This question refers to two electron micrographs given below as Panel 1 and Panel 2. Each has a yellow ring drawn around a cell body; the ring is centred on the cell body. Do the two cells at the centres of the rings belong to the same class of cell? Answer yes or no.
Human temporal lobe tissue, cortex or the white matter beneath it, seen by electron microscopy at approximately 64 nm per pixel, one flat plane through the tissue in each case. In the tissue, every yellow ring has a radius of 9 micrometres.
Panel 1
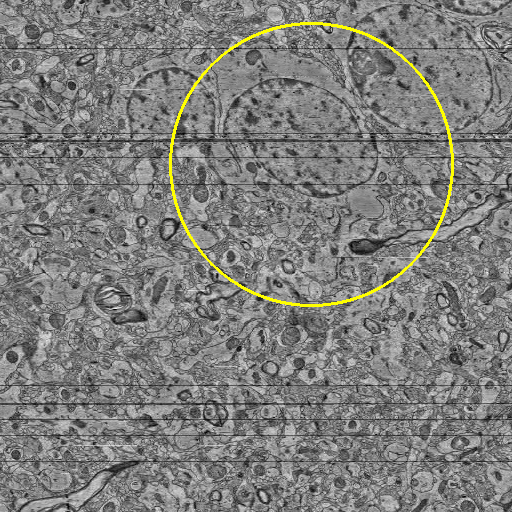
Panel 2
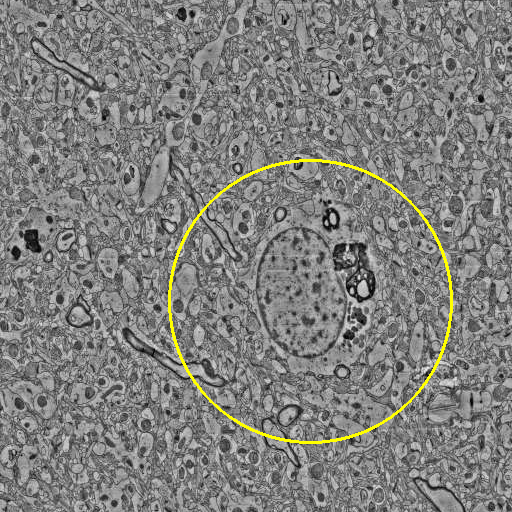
yes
